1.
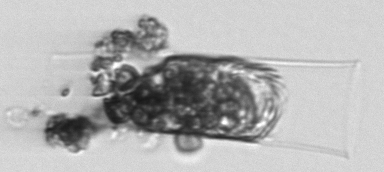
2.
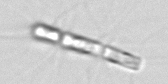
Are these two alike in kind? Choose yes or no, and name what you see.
No. First a tintinnid, second Bacteriastrum furcatum.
